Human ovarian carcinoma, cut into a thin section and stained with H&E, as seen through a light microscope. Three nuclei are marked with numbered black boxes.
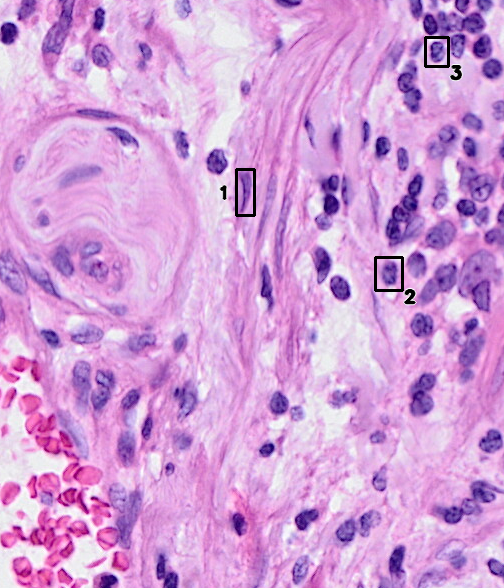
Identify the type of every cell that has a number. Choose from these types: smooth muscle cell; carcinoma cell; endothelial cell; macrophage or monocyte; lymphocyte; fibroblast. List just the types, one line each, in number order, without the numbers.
fibroblast
lymphocyte
lymphocyte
